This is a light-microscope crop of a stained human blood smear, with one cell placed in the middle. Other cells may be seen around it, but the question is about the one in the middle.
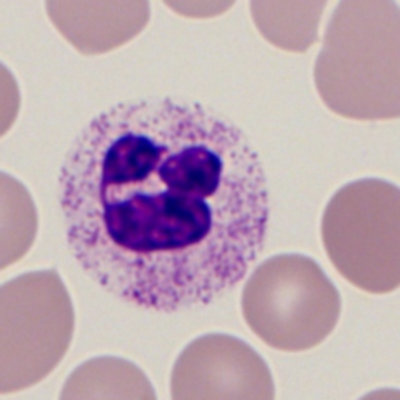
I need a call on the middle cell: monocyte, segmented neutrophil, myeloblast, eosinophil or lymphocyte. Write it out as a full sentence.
Classified as a segmented neutrophil is the cell in the middle of this crop.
